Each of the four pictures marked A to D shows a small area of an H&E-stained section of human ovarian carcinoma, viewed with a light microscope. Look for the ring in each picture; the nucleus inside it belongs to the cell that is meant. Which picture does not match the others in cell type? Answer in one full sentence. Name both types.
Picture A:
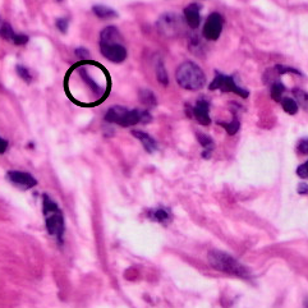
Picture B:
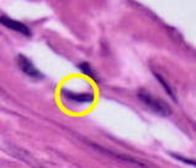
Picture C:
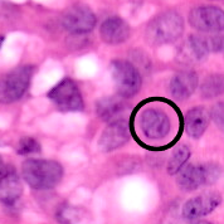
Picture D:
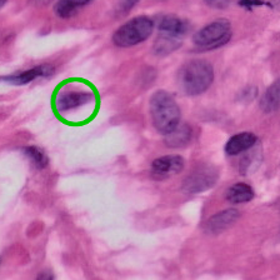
The different one is picture C; it shows a carcinoma cell, whereas all the others show fibroblasts.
